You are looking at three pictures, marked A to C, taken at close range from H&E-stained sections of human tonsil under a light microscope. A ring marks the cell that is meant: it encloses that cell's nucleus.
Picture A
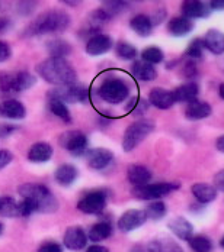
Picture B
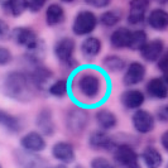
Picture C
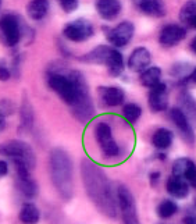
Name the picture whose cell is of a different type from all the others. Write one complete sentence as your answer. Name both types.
Picture C differs, because its cell is an endothelial cell and the rest are small lymphocytes.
